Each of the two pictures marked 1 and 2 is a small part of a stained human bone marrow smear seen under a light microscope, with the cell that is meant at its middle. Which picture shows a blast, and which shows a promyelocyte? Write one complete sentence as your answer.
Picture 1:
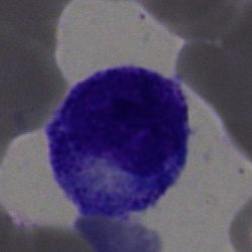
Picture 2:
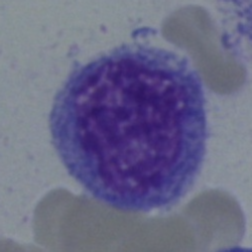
It is picture 1 that shows a promyelocyte, and picture 2 that shows a blast.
